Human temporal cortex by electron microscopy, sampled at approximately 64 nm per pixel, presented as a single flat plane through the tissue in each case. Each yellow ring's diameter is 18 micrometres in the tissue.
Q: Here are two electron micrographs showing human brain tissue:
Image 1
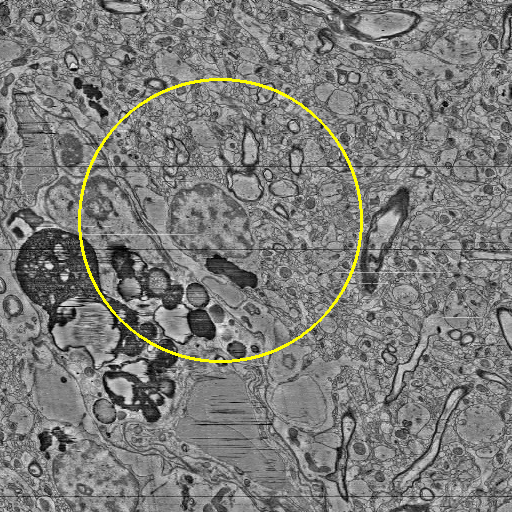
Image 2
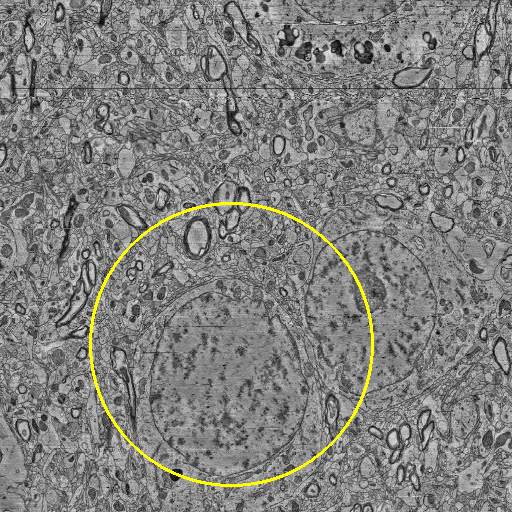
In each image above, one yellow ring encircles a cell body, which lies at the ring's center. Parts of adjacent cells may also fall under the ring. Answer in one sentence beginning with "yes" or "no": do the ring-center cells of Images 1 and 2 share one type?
No, in Images 1 and 2, the ring-center cells are of two types.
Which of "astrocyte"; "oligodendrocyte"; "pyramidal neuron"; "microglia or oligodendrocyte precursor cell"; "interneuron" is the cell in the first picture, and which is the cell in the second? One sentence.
The two differ: the first cell is an oligodendrocyte and the second is a pyramidal neuron.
